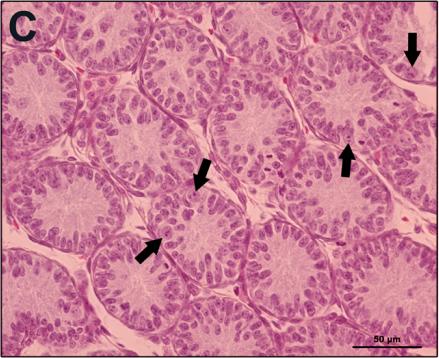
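Nuclei form a row around the edge of each tubule, and among them lie somewhat larger rounded cells, the gonocytes or spermatogonia. No layers of maturing germ cells are seen.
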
